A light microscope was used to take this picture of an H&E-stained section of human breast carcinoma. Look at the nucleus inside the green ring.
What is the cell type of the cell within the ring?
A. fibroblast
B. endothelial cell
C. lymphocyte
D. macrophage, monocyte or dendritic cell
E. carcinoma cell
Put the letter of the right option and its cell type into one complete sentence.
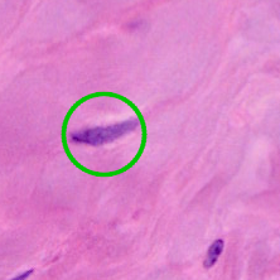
Here the cell within the ring is a fibroblast, which makes option A correct.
